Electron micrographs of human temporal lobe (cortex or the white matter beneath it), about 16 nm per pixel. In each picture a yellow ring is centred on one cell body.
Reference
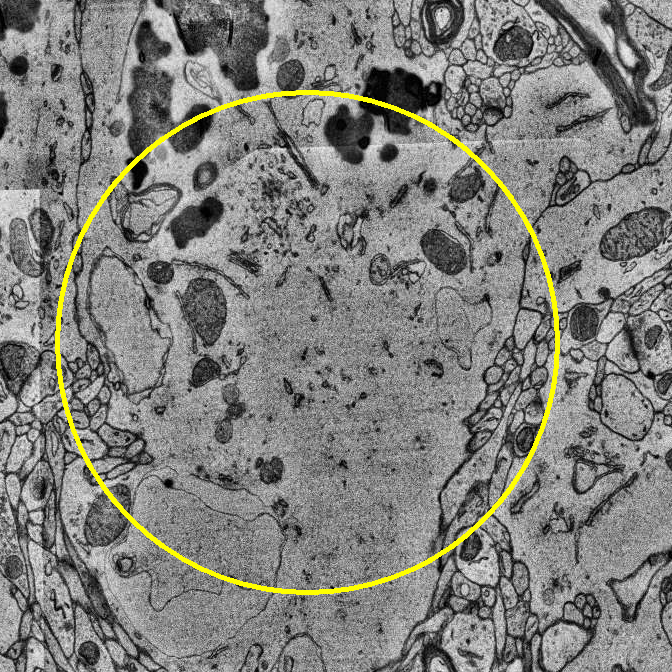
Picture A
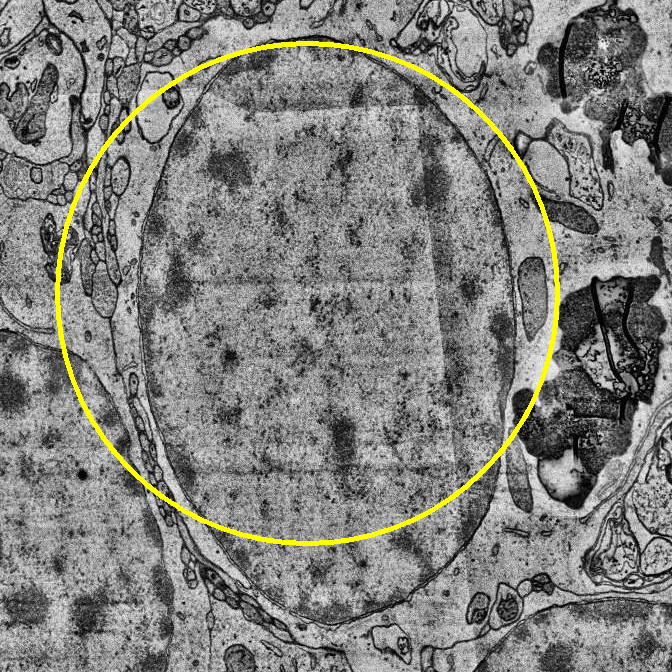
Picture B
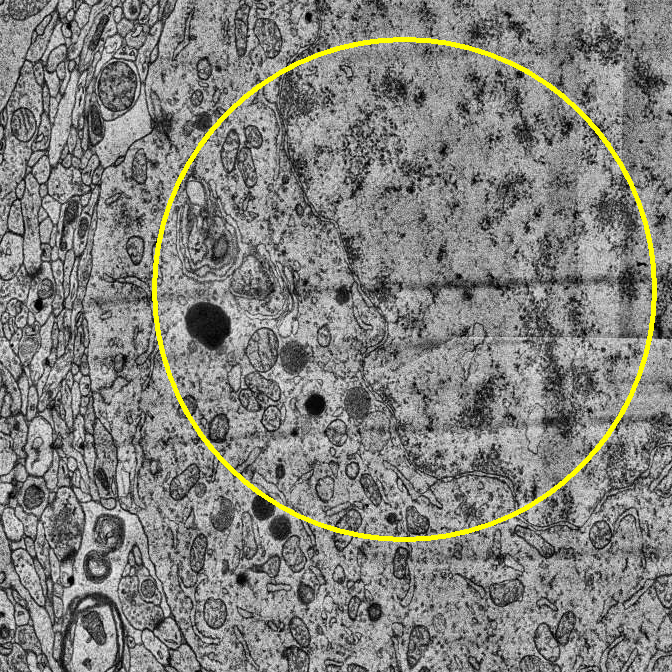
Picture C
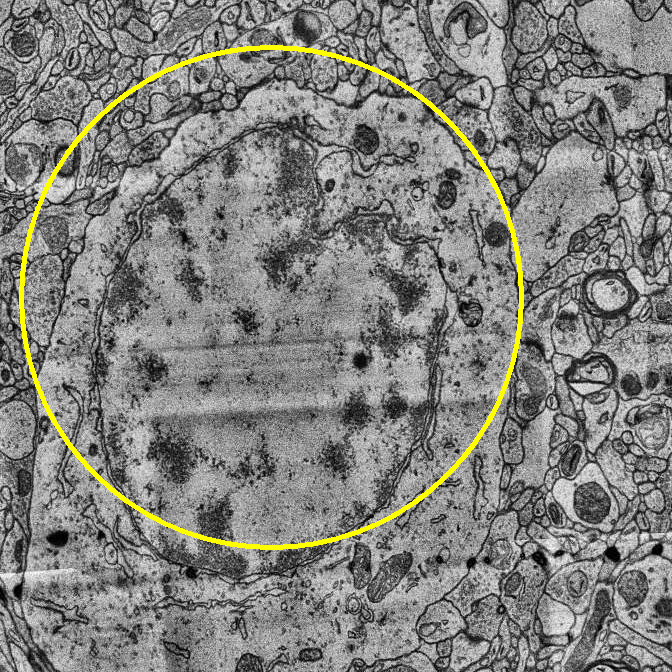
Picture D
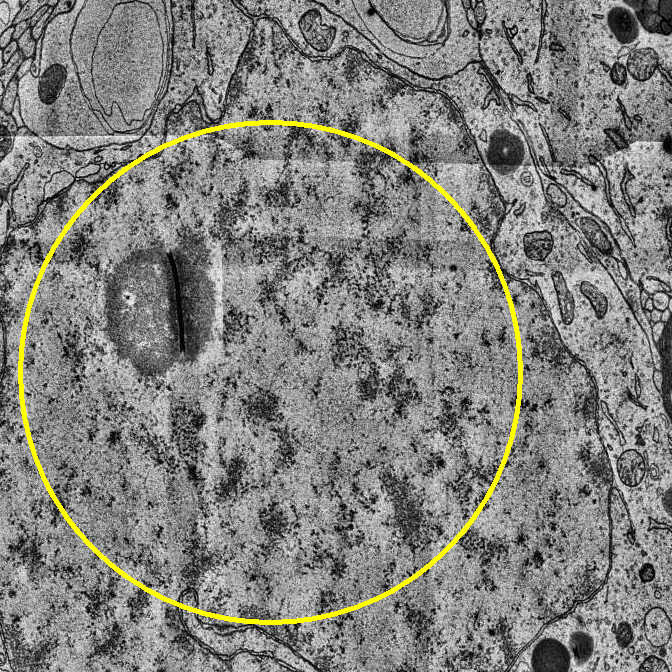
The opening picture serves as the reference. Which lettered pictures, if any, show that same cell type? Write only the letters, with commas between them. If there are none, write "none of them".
A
